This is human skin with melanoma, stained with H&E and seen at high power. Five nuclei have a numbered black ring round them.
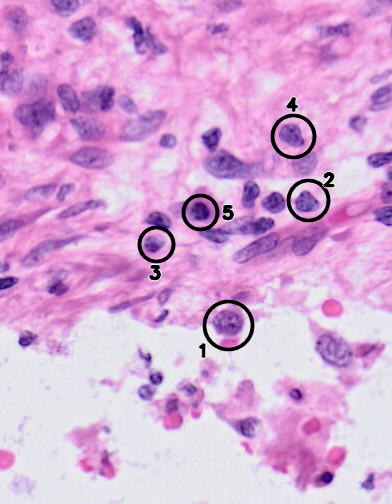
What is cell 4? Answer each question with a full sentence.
The nucleus marked 4 is the nucleus of a lymphocyte.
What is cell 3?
The cell indicated by marker 3 is a lymphocyte in this section.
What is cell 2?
That cell with number 2 is a lymphocyte.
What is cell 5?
Here the cell numbered 5 is a plasma cell.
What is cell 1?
The cell bearing label 1 corresponds to a melanoma cell.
